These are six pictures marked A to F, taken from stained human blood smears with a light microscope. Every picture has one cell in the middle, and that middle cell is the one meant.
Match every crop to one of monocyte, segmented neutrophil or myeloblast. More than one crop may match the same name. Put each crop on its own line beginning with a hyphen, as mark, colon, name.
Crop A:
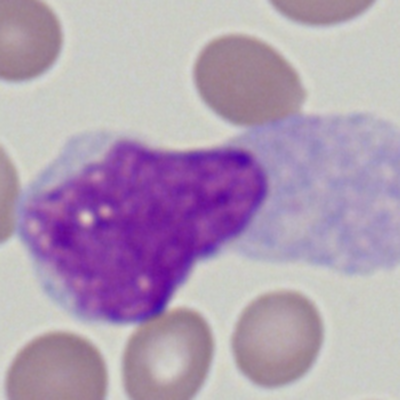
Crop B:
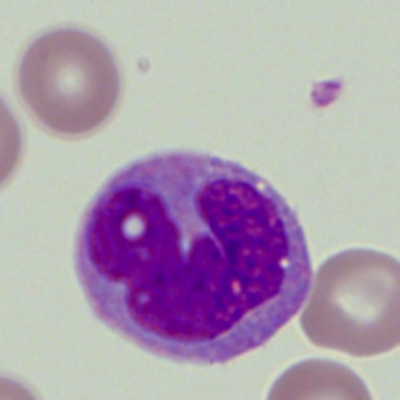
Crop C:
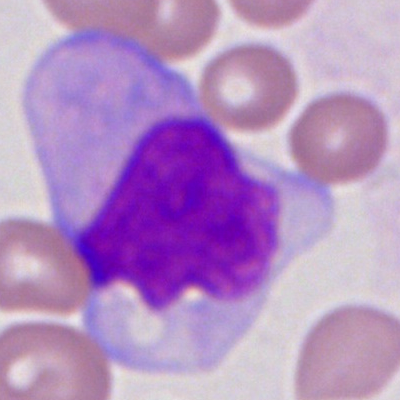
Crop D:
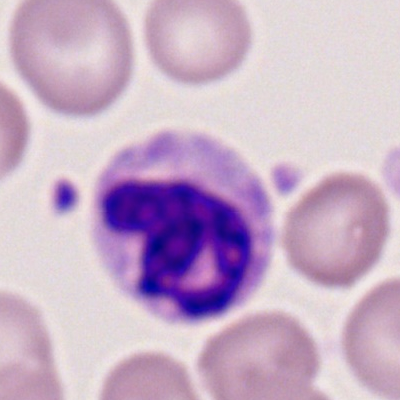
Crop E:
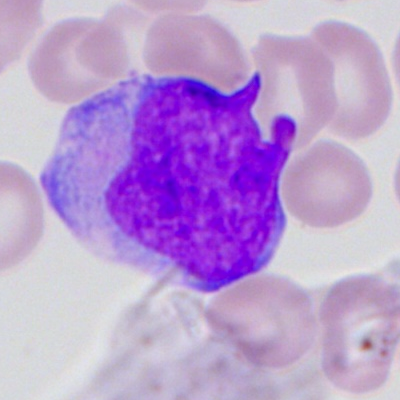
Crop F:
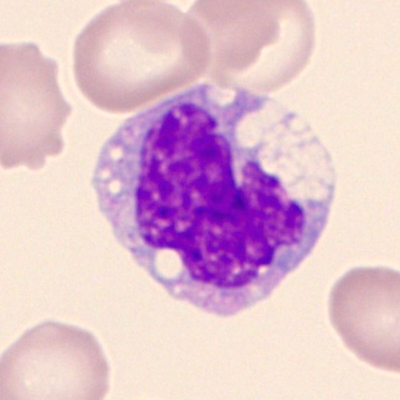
- A: monocyte
- B: monocyte
- C: monocyte
- D: segmented neutrophil
- E: myeloblast
- F: monocyte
